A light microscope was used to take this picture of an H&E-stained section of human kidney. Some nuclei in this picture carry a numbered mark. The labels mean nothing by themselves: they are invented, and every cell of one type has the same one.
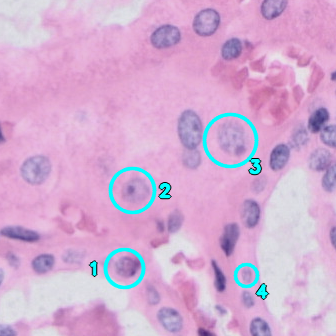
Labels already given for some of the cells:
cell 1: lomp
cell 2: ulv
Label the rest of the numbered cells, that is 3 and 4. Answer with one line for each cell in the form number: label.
3: ulv
4: lomp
